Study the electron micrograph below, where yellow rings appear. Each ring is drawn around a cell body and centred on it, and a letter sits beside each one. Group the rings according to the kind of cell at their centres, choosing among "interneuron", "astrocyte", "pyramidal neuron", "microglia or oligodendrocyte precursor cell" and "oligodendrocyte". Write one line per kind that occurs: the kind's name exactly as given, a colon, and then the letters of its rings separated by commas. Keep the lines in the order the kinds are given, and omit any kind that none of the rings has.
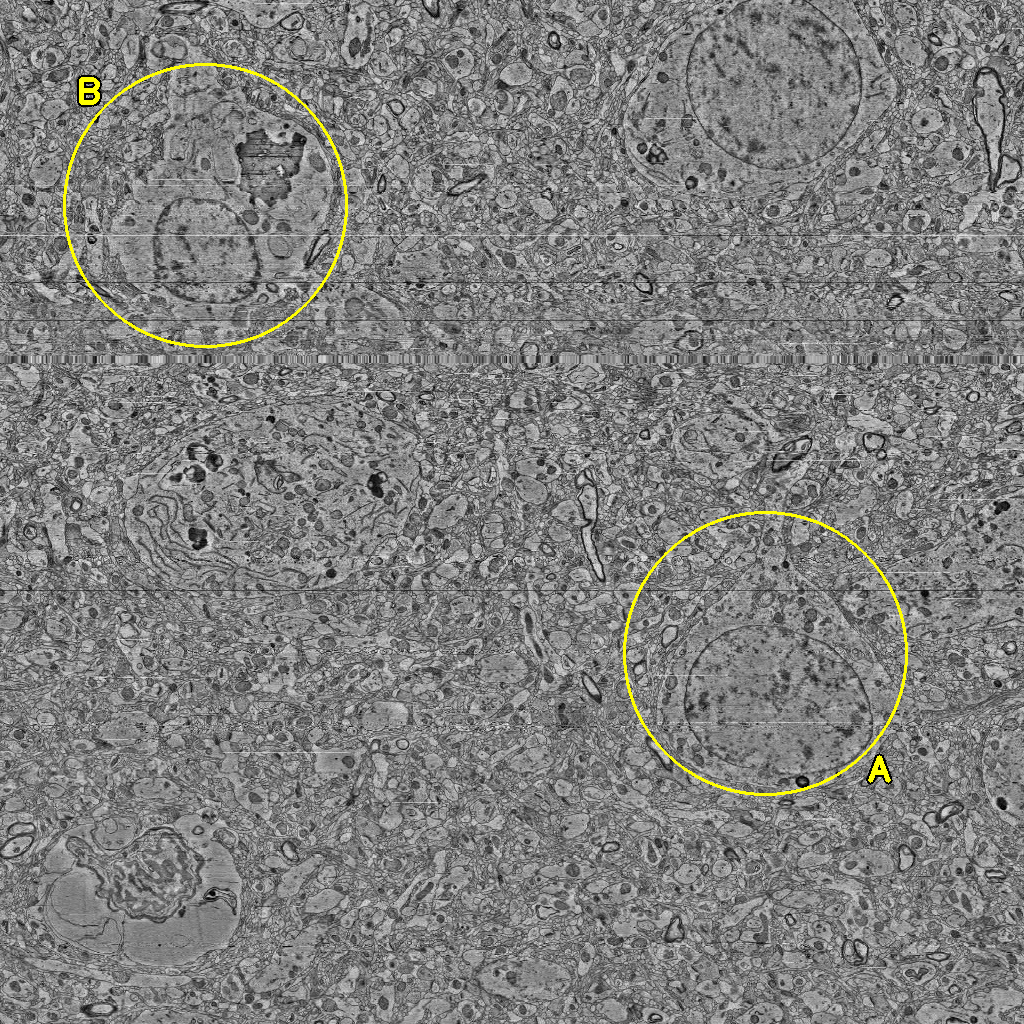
astrocyte: B
pyramidal neuron: A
